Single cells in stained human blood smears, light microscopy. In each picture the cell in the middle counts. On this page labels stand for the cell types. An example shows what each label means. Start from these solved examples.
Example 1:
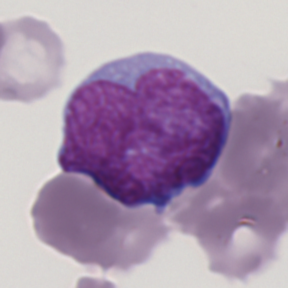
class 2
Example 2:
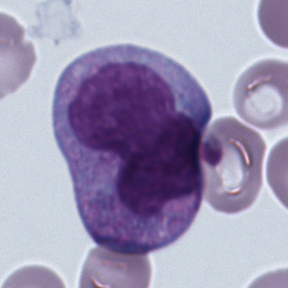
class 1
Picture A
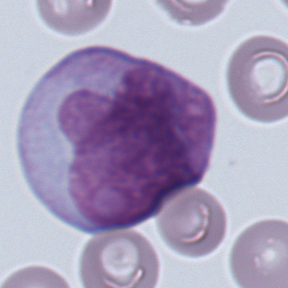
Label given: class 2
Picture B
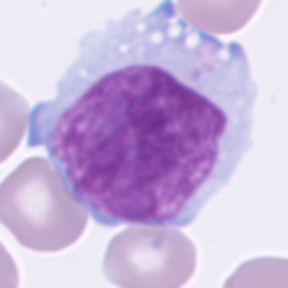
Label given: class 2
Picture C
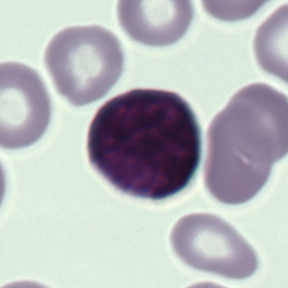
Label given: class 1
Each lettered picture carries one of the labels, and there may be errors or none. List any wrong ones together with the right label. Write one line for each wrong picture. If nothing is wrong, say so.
A: change class 2 to class 1
C: change class 1 to class 2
